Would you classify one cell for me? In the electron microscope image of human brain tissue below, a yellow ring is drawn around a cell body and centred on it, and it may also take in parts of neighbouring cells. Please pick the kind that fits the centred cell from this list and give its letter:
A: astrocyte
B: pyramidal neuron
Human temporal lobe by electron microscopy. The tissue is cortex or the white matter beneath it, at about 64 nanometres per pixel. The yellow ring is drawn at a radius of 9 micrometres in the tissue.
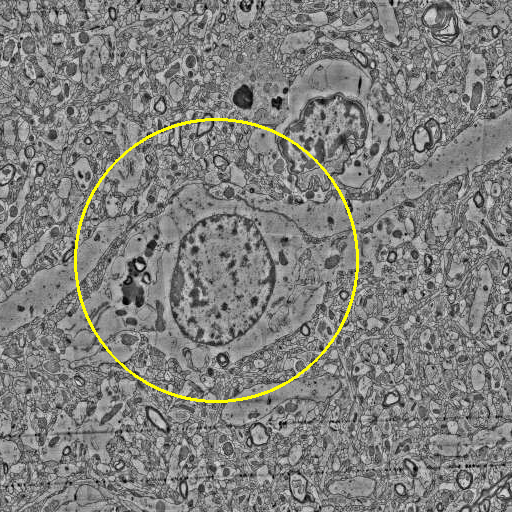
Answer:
A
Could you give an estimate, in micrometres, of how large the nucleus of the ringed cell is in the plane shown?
The nucleus is approximately 9 micrometers long by 6 micrometers wide in this plane.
